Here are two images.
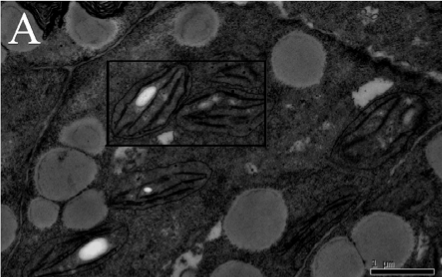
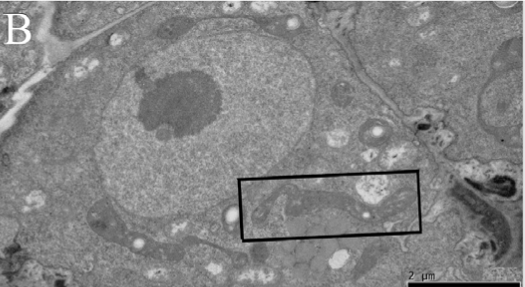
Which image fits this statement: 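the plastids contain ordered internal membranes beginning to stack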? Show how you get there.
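Second image: the outlined organelle is irregular and lacks ordered parallel internal membranes. First image: several lens-shaped organelles are filled with parallel internal membranes, some lying in stacks.
Conclusion: the first image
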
